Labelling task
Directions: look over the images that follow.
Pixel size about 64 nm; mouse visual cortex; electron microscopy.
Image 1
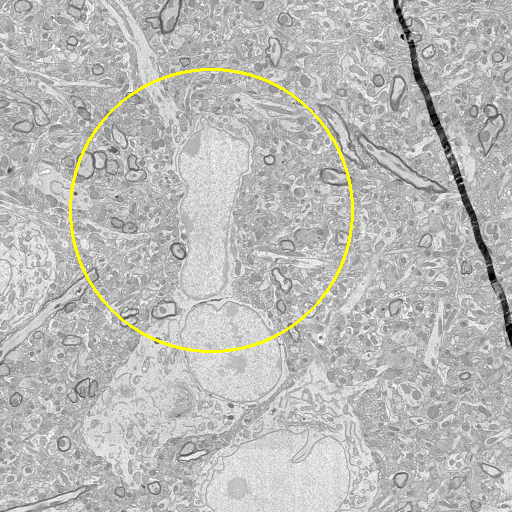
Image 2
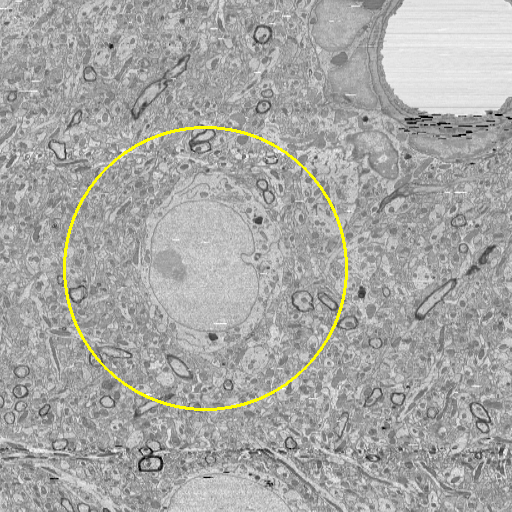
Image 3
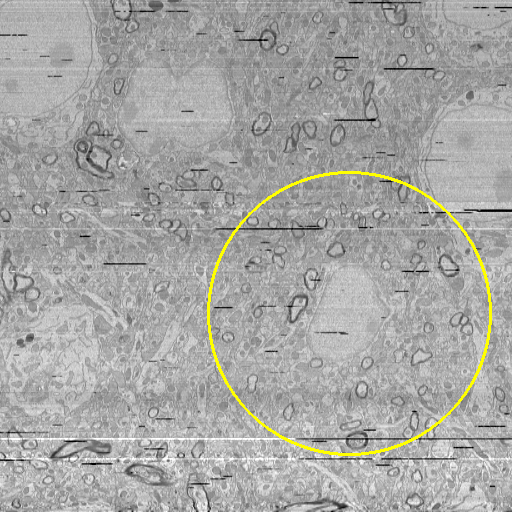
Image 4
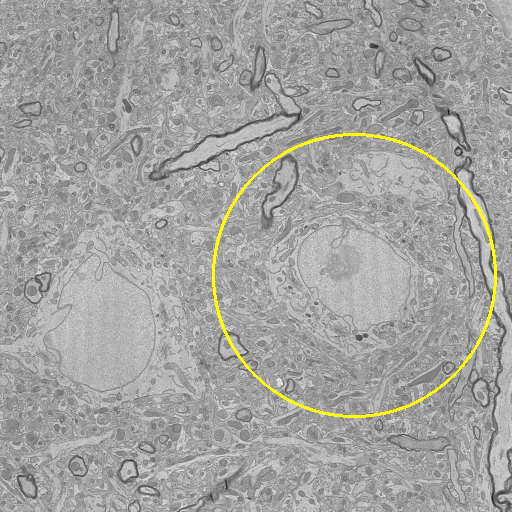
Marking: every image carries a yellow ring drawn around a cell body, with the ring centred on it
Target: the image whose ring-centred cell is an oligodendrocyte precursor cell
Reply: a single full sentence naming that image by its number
The requested cell sits at the ring's centre in Image 1.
